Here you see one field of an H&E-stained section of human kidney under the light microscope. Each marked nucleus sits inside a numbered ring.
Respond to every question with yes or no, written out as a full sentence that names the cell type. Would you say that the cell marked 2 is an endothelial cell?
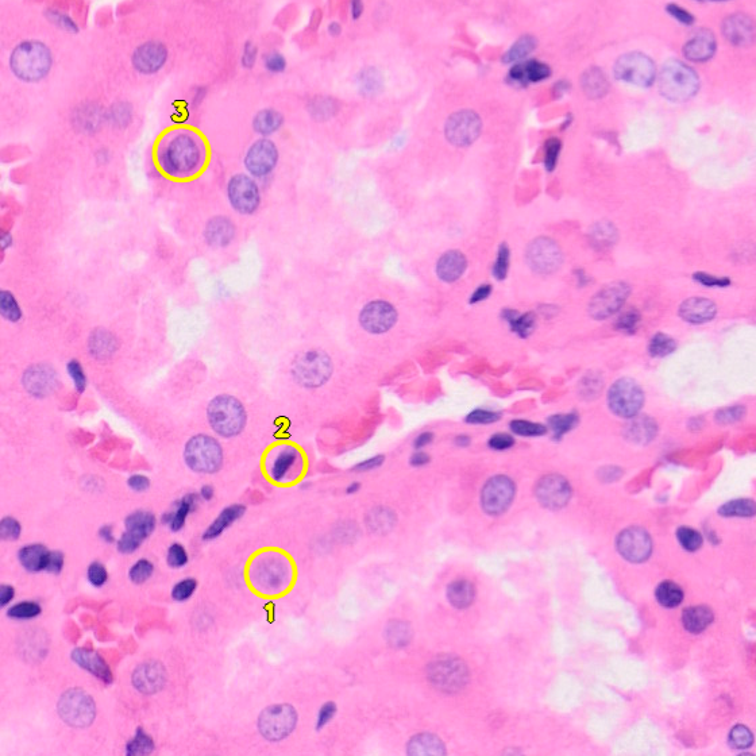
Yes, looking at number 2, that cell is an endothelial cell.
